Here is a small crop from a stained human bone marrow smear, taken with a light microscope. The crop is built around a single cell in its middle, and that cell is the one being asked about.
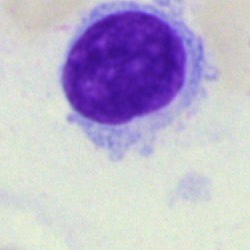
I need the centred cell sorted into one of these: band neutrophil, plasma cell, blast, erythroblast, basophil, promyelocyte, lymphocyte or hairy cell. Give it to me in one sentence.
The cell shown in the center of this light-microscope crop is a hairy cell.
